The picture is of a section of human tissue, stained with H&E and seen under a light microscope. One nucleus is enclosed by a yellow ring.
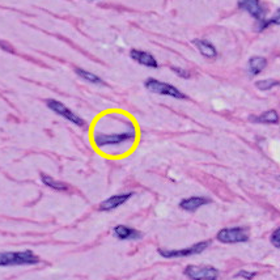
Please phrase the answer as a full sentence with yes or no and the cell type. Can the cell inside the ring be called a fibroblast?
Yes, in short, the cell inside the ring is a fibroblast here.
